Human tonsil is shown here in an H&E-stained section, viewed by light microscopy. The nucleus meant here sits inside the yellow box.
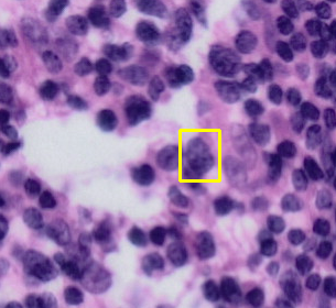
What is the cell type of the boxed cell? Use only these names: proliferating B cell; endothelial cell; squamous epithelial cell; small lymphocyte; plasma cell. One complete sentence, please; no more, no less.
By cell type, the boxed cell is a proliferating B cell.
